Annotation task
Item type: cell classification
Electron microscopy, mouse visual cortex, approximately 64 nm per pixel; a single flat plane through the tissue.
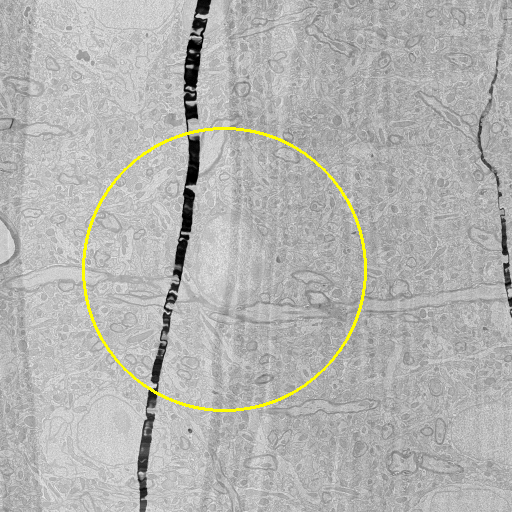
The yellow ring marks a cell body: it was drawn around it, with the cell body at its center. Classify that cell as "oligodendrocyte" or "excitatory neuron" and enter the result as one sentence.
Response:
The ring's center falls on an oligodendrocyte.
